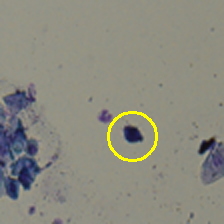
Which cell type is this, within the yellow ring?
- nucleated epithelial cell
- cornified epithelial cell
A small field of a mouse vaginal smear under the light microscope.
Within the ring is a cornified epithelial cell.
